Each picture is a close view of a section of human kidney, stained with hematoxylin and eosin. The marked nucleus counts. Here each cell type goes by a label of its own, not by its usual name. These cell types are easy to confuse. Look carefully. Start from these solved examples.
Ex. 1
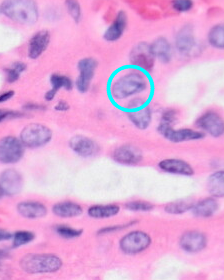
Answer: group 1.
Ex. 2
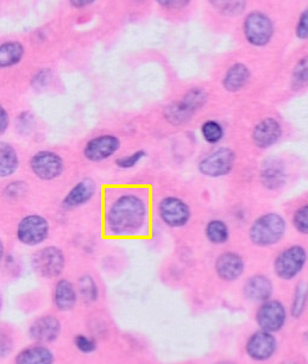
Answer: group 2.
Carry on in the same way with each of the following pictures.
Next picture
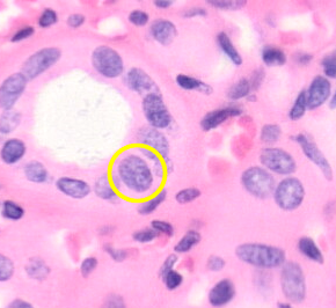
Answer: group 1.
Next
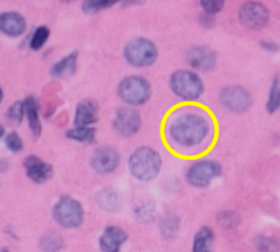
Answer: group 2.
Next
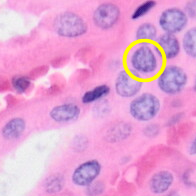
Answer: group 1.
